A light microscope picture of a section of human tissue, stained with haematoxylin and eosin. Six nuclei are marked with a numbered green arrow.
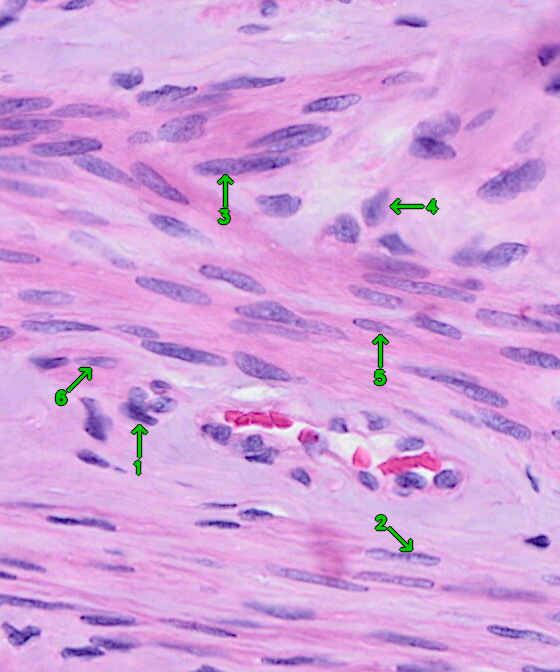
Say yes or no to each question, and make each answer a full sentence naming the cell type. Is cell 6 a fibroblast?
No, number 6 does not mark a fibroblast; it marks a smooth muscle cell.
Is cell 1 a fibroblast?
Yes, within this section, cell number 1 is a fibroblast.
